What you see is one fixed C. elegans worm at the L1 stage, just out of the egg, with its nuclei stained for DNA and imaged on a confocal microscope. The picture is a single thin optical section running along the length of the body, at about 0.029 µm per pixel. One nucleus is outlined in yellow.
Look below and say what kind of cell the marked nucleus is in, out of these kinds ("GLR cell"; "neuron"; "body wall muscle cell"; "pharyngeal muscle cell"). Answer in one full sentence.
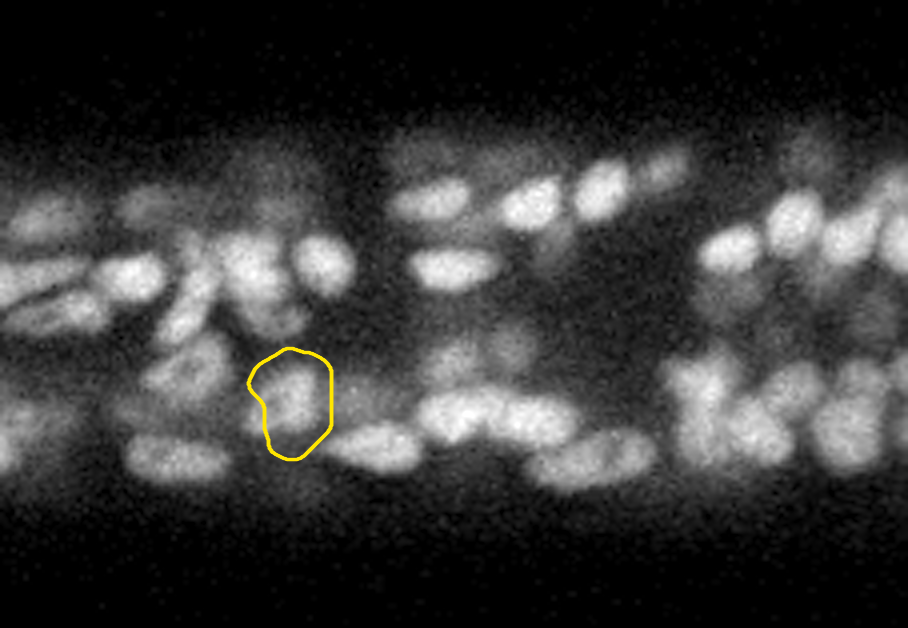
It is the nucleus of a pharyngeal muscle cell.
